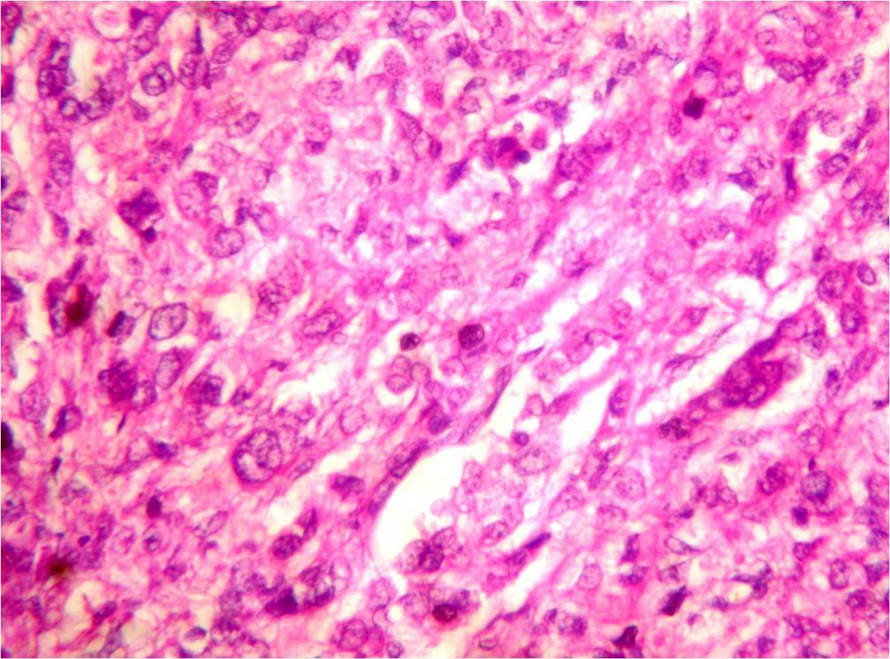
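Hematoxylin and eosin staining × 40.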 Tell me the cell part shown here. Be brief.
prominent nucleoli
